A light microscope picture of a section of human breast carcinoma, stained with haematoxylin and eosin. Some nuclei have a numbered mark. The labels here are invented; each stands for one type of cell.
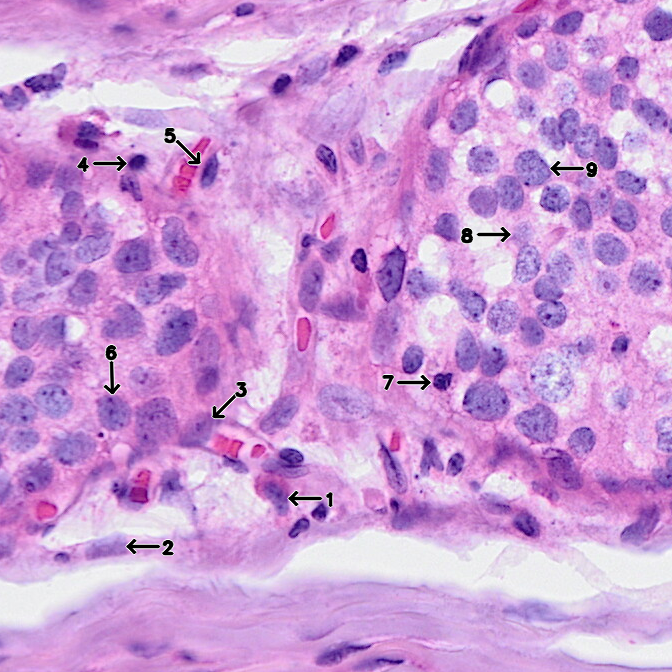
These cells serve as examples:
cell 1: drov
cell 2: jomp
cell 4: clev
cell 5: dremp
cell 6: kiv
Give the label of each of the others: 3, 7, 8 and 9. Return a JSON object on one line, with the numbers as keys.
{"3": "dremp", "7": "clev", "8": "kiv", "9": "kiv"}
